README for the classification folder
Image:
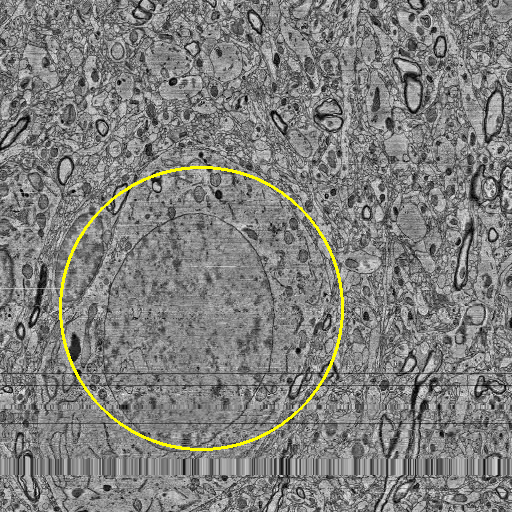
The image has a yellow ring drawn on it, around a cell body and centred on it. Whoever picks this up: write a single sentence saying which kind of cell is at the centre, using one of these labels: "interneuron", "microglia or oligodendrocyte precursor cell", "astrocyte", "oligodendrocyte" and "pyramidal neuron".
This cell body is that of a pyramidal neuron.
